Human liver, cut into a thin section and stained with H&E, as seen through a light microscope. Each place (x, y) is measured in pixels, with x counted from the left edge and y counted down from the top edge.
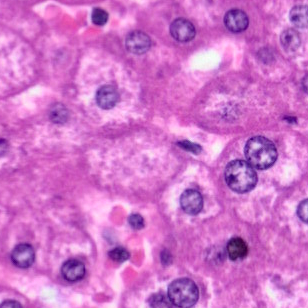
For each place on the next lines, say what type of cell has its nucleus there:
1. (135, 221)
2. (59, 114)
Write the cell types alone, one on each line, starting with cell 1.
lymphocyte
hepatocyte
